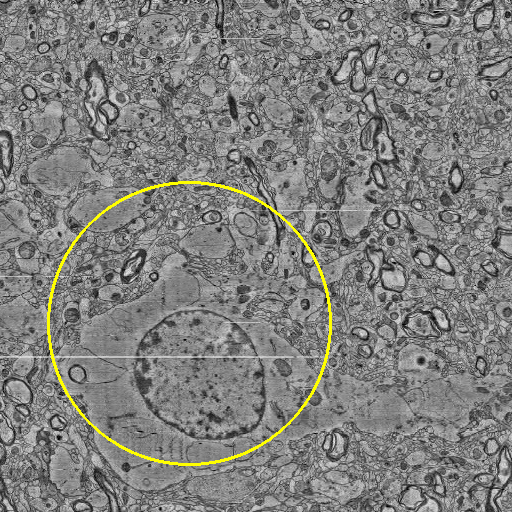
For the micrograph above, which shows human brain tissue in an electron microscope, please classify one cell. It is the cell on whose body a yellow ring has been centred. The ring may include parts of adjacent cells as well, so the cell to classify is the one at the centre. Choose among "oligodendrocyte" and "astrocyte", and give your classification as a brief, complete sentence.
I classify this cell as an astrocyte.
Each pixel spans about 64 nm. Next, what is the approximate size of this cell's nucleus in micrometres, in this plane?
Approximately 9 x 8 micrometres in this plane.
